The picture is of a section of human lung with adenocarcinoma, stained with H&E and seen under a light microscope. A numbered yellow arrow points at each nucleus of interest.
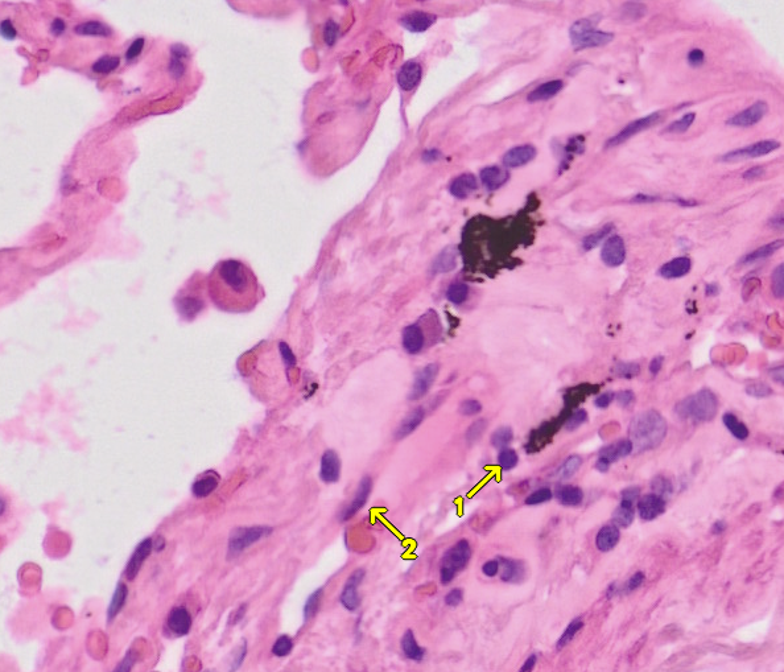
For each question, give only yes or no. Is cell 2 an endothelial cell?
yes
